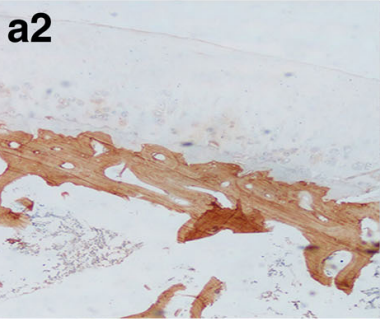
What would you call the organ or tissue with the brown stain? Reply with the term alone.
subchondral bone area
